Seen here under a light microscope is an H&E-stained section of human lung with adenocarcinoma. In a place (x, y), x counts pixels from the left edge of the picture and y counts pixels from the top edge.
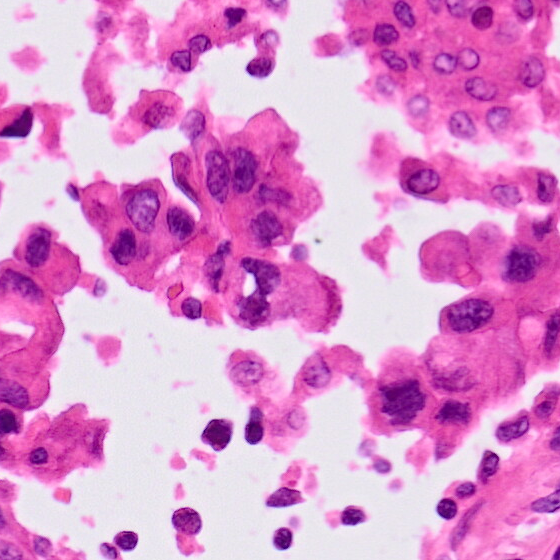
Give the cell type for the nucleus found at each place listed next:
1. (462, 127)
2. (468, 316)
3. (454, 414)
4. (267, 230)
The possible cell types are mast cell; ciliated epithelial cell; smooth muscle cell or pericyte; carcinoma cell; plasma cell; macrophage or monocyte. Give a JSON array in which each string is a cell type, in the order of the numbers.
["macrophage or monocyte", "carcinoma cell", "carcinoma cell", "carcinoma cell"]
